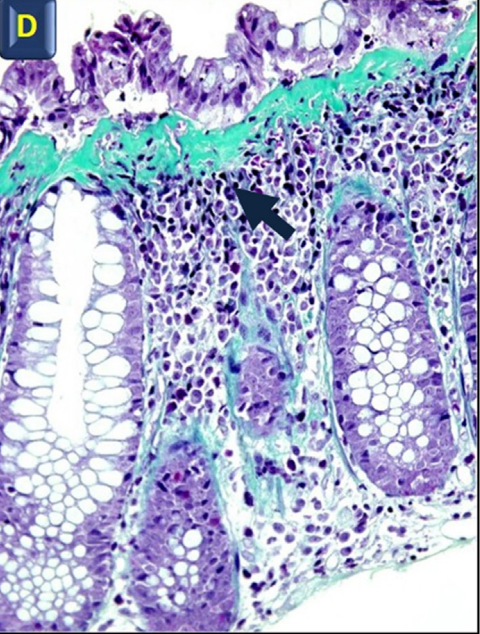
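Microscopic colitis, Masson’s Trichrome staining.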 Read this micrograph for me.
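This is colonic mucosa in which a thick green-blue collagen band lies directly beneath the surface epithelium. The surface epithelium above it is irregular and partly detached, while the crypts below are lined by goblet cells. The lamina propria between the crypts is densely packed with cells.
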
